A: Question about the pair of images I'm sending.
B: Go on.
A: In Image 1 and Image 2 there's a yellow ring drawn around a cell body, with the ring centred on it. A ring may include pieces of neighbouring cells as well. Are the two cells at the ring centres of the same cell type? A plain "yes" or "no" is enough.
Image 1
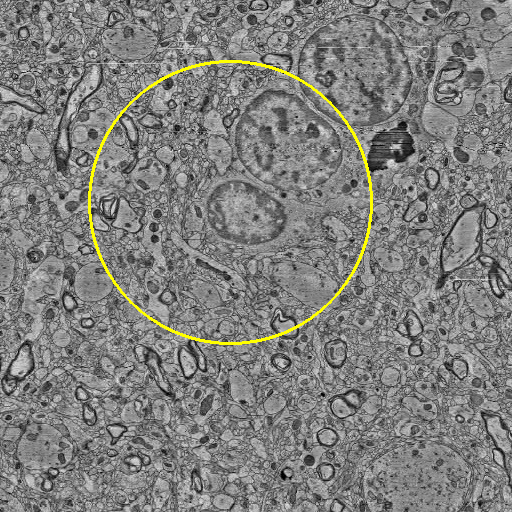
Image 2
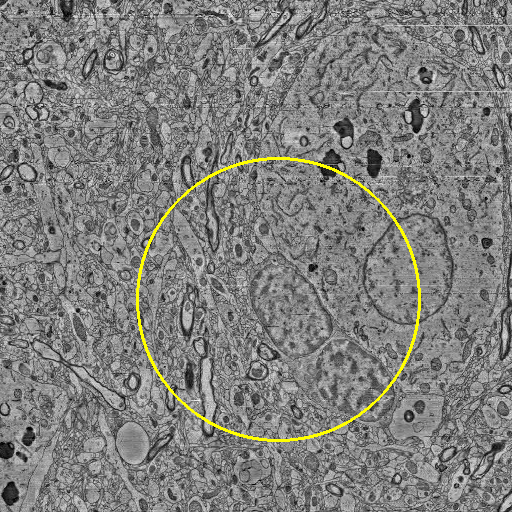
yes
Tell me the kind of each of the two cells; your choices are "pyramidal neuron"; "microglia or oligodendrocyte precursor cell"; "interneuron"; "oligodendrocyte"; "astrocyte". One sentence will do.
Both cells are the same kind, each one being an oligodendrocyte.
